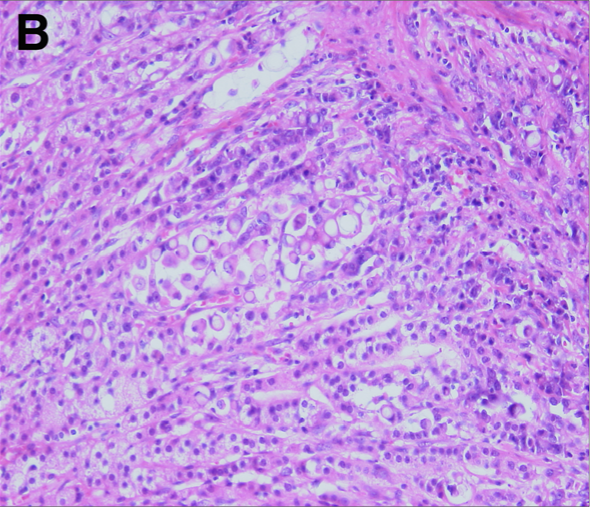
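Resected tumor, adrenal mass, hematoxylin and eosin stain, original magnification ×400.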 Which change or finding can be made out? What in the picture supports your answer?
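Many tumour cells have a large clear vacuole filling the cytoplasm. Nuclei in these vacuolated cells are pushed to one side of the cell. Tumour cells infiltrate diffusely in sheets and cords between pink stromal strands. The answer: signet ring cell carcinoma.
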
